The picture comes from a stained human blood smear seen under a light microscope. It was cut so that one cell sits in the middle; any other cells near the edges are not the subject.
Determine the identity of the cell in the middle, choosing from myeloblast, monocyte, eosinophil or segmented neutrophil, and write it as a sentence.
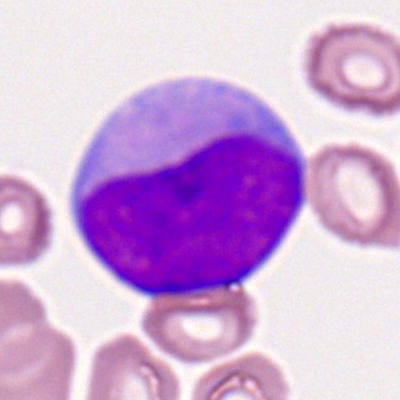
Located at the centre of the crop is a myeloblast.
